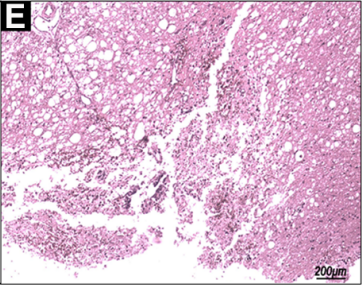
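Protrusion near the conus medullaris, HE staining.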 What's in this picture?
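This section shows necrotic tissue infiltrated by inflammatory cells, stained pink and purple. The pink background is loose and disorganized, with many rounded clear vacuoles of varying size, especially toward the top of the field. Small, dark purple nuclei are scattered throughout and gather into denser patches in several areas. Irregular clefts split the tissue into fragments, and a wide empty space runs across the lower part of the field. No orderly layers or intact tissue architecture can be made out.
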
